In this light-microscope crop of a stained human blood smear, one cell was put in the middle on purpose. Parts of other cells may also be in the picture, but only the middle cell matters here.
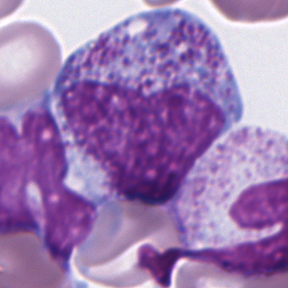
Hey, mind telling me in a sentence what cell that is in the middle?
What sits at the centre of this crop is a promyelocyte.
